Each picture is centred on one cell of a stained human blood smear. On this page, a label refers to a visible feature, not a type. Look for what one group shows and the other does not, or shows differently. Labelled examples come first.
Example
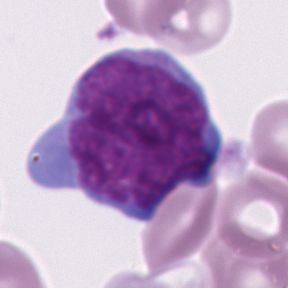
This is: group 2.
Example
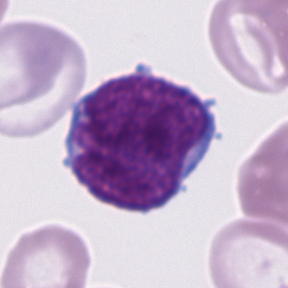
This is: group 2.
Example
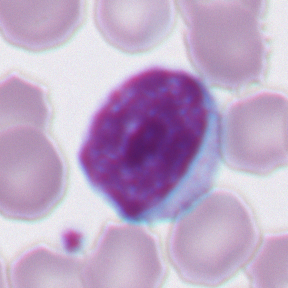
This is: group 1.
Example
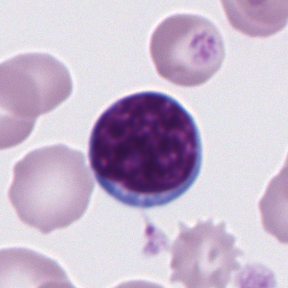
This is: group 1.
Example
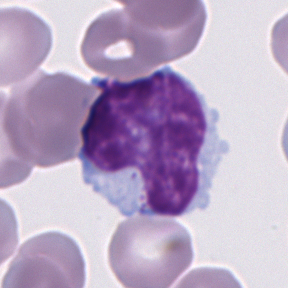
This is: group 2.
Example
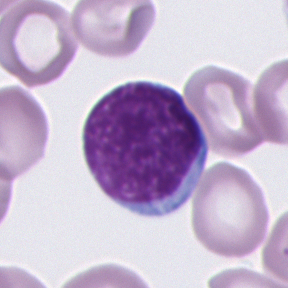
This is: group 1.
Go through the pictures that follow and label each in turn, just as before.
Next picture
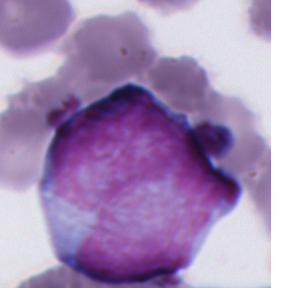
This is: group 2.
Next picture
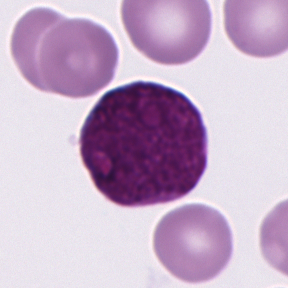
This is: group 1.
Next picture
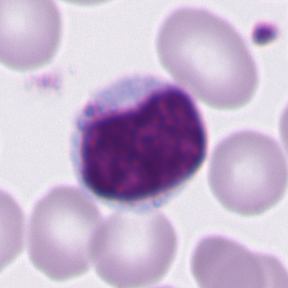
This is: group 1.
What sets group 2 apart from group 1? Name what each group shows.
group 2: ragged outline or projections; group 1: smooth outline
